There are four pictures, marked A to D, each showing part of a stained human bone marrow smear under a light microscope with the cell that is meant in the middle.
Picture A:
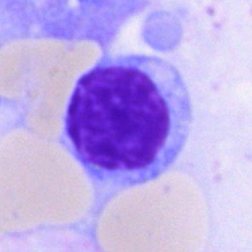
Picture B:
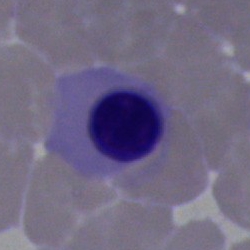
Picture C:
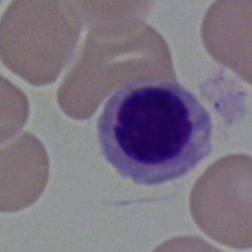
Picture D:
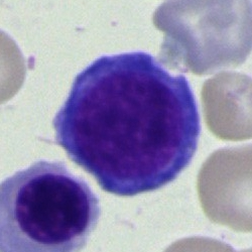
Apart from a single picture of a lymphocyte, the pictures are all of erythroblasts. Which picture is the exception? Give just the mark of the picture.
A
